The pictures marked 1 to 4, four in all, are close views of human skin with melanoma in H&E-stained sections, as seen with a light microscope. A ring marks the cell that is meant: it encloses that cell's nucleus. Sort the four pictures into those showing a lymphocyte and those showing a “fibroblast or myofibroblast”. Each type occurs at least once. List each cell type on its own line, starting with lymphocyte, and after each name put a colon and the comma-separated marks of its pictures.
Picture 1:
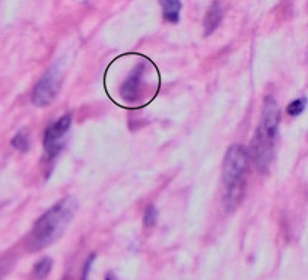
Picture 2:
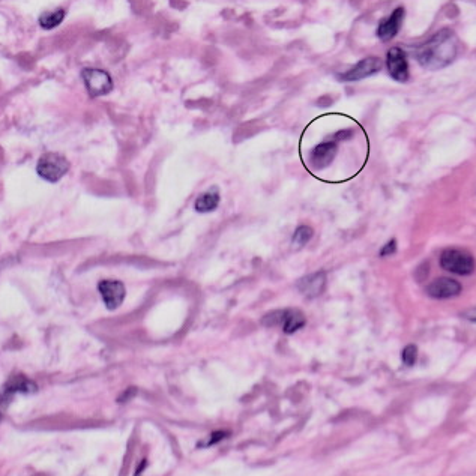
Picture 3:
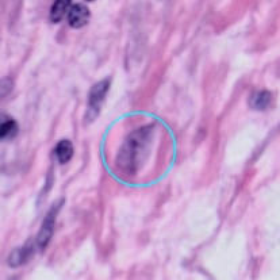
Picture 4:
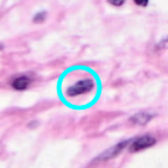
lymphocyte: 4
fibroblast or myofibroblast: 1, 2, 3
